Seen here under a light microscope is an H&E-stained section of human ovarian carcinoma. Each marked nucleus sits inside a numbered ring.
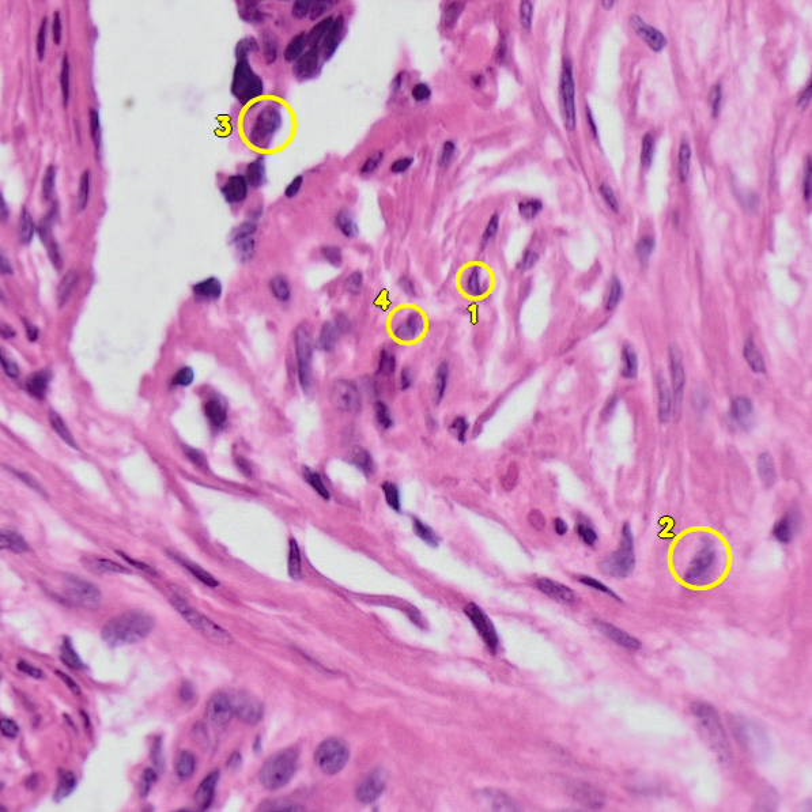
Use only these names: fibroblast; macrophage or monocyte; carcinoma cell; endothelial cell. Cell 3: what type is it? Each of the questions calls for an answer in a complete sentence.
In this section, the cell numbered 3 is a carcinoma cell.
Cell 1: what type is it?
Cell 1, as marked in the section, is a fibroblast.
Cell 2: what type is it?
Here the cell numbered 2 is a fibroblast.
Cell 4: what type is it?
Among the marked cells, number 4 is a fibroblast.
